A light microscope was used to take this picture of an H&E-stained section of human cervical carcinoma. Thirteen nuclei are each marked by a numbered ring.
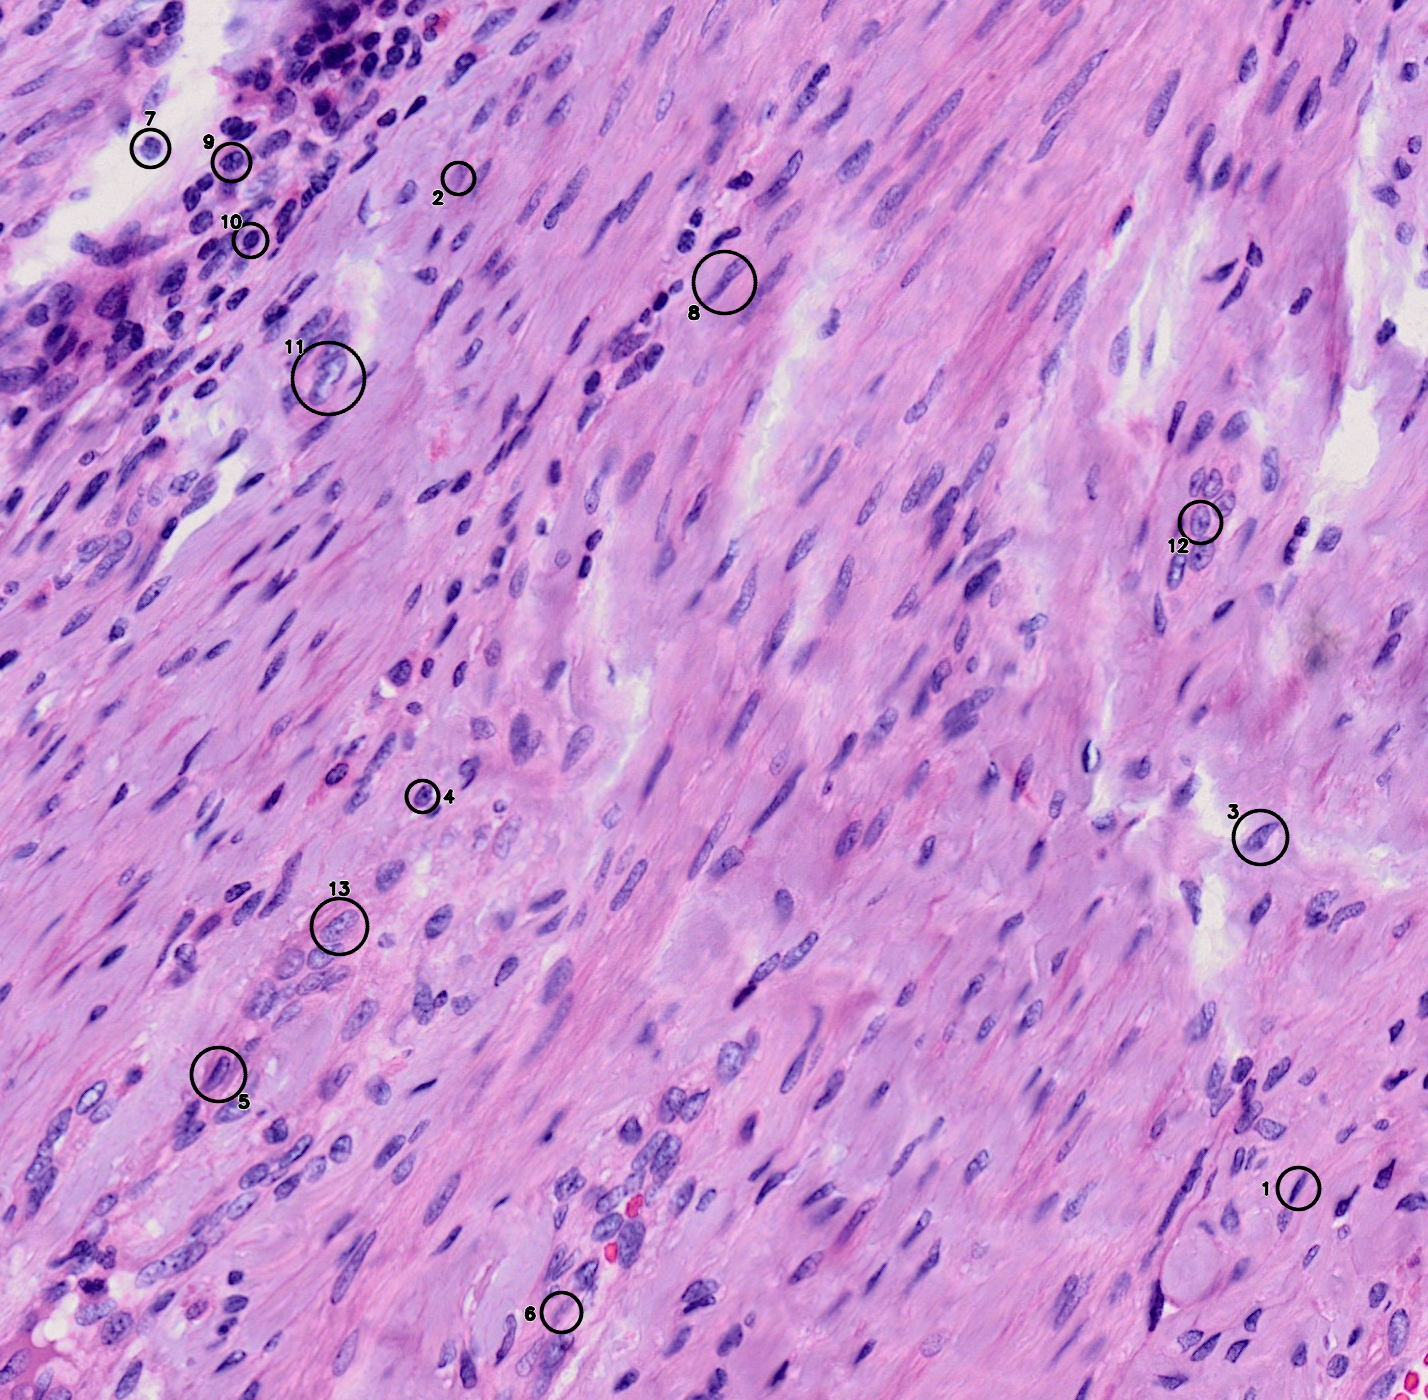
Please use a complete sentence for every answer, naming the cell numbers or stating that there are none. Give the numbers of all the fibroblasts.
The cells numbered 1, 3 and 8 are typed as fibroblasts.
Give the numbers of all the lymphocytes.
The numbers 4, 7, 9 and 10 mark cells that are lymphocytes.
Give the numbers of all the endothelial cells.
Identified as endothelial cells are the cells numbered 5, 6, 11, 12 and 13.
